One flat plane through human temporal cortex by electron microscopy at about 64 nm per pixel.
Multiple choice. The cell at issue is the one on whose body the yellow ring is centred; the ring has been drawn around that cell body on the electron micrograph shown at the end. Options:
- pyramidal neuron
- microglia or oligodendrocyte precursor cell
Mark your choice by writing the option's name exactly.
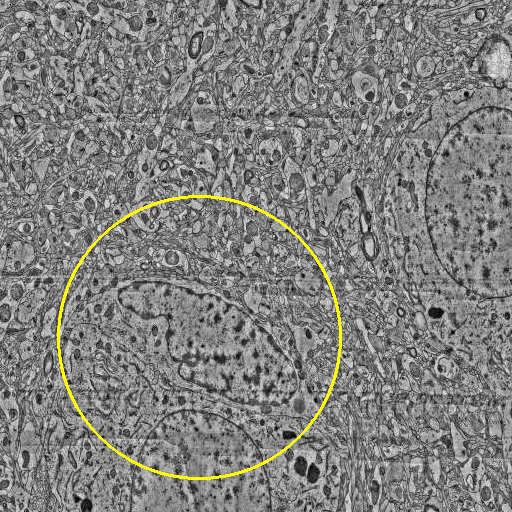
microglia or oligodendrocyte precursor cell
